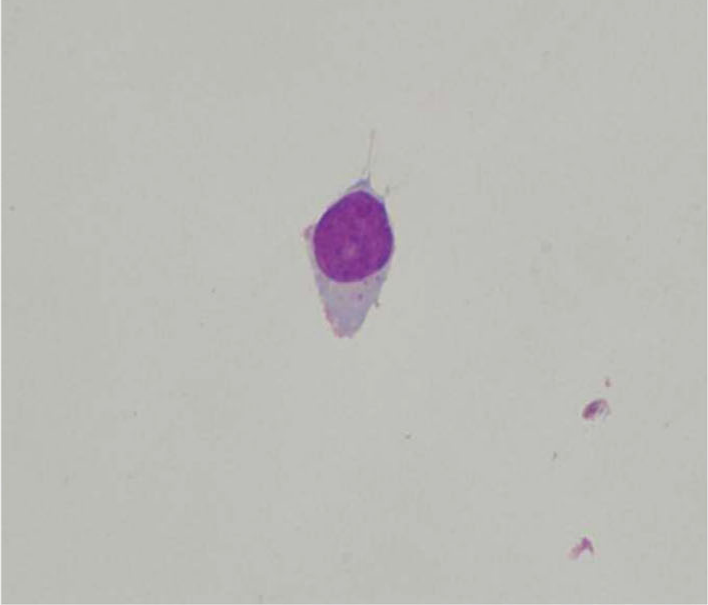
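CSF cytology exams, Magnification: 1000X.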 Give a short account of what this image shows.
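The cytoplasm is pale blue-grey and extends below the nucleus into a tapering tail, and a thin, hair-like projection rises from the top of the cell. A few small pink fragments of debris lie scattered at the lower right.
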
